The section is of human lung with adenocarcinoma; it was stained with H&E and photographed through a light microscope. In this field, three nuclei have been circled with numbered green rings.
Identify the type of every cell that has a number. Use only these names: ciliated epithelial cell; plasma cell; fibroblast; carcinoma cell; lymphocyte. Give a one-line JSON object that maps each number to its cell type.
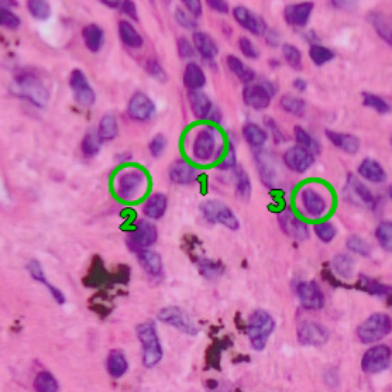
{"1": "lymphocyte", "2": "plasma cell", "3": "lymphocyte"}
